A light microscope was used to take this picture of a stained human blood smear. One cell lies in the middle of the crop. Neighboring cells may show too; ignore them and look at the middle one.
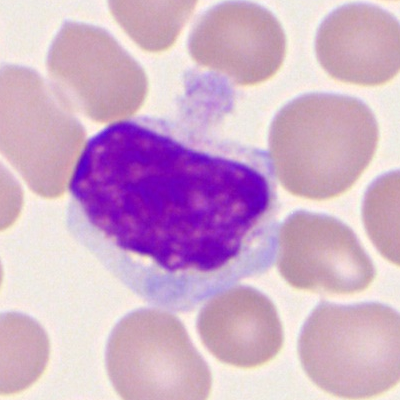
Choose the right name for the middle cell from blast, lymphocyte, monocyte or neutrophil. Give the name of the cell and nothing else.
monocyte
